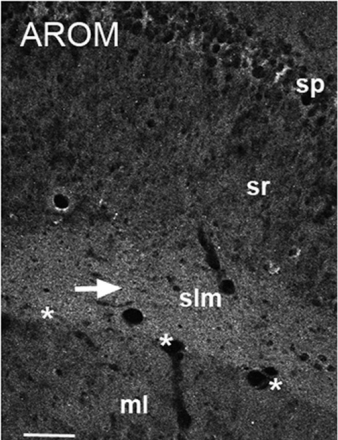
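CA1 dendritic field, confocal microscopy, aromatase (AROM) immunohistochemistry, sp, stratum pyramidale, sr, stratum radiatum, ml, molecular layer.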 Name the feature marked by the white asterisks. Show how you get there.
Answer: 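The hippocampal fissure. Asterisks lie along a dark band crossing the lower part of the image. The band separates the brighter layer above from the layer labelled ml below. Dark round vessel profiles sit along this band.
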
